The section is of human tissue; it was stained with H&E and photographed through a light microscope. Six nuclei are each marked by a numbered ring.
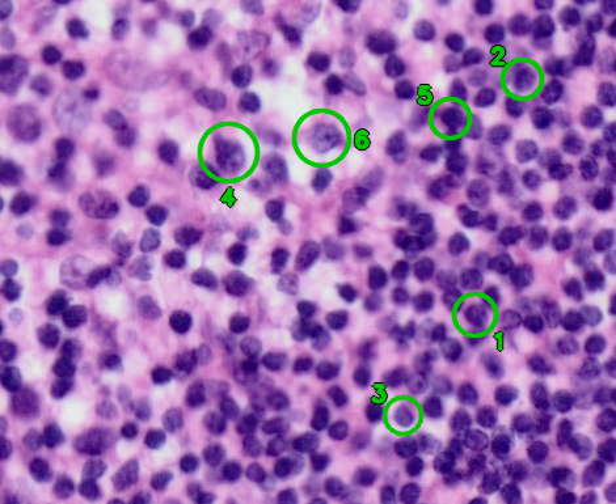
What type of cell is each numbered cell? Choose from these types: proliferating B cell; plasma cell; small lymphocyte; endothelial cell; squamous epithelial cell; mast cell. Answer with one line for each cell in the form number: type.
1: small lymphocyte
2: small lymphocyte
3: small lymphocyte
4: proliferating B cell
5: small lymphocyte
6: proliferating B cell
